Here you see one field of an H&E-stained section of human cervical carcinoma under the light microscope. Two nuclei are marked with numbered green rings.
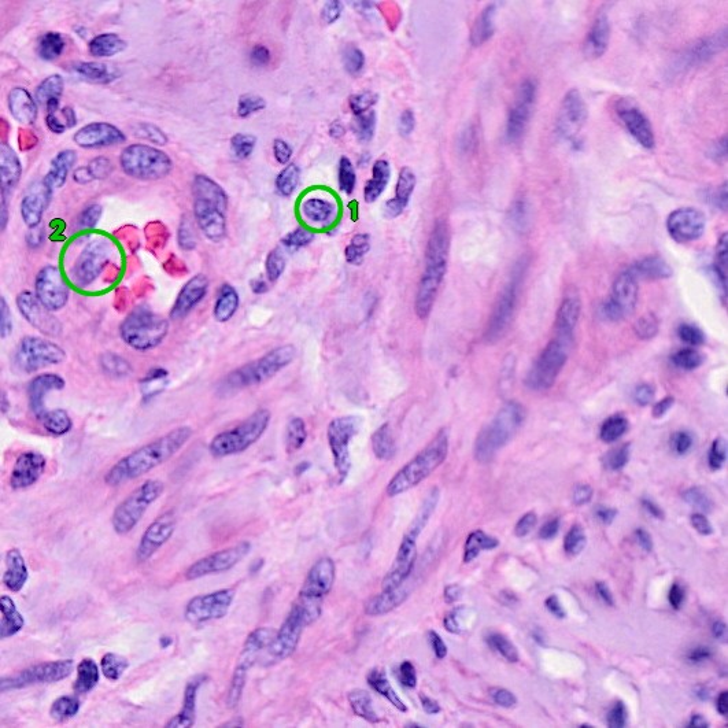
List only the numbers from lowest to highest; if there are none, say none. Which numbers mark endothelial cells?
2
